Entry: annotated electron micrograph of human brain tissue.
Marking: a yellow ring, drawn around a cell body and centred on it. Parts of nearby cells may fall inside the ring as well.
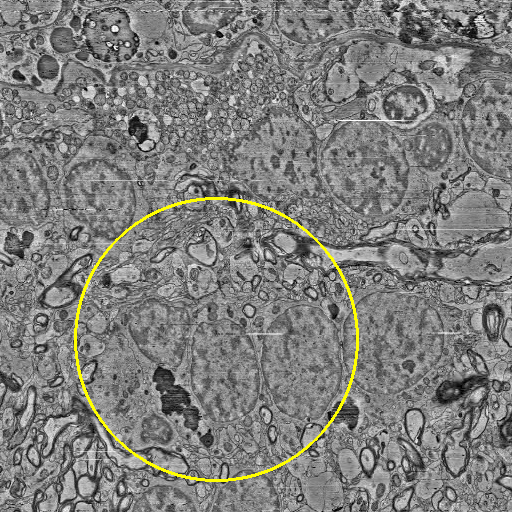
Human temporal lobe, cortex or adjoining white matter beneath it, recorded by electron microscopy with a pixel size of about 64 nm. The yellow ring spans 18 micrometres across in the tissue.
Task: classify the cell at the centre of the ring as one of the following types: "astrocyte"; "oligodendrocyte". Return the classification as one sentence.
The marked cell is classified as an oligodendrocyte.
